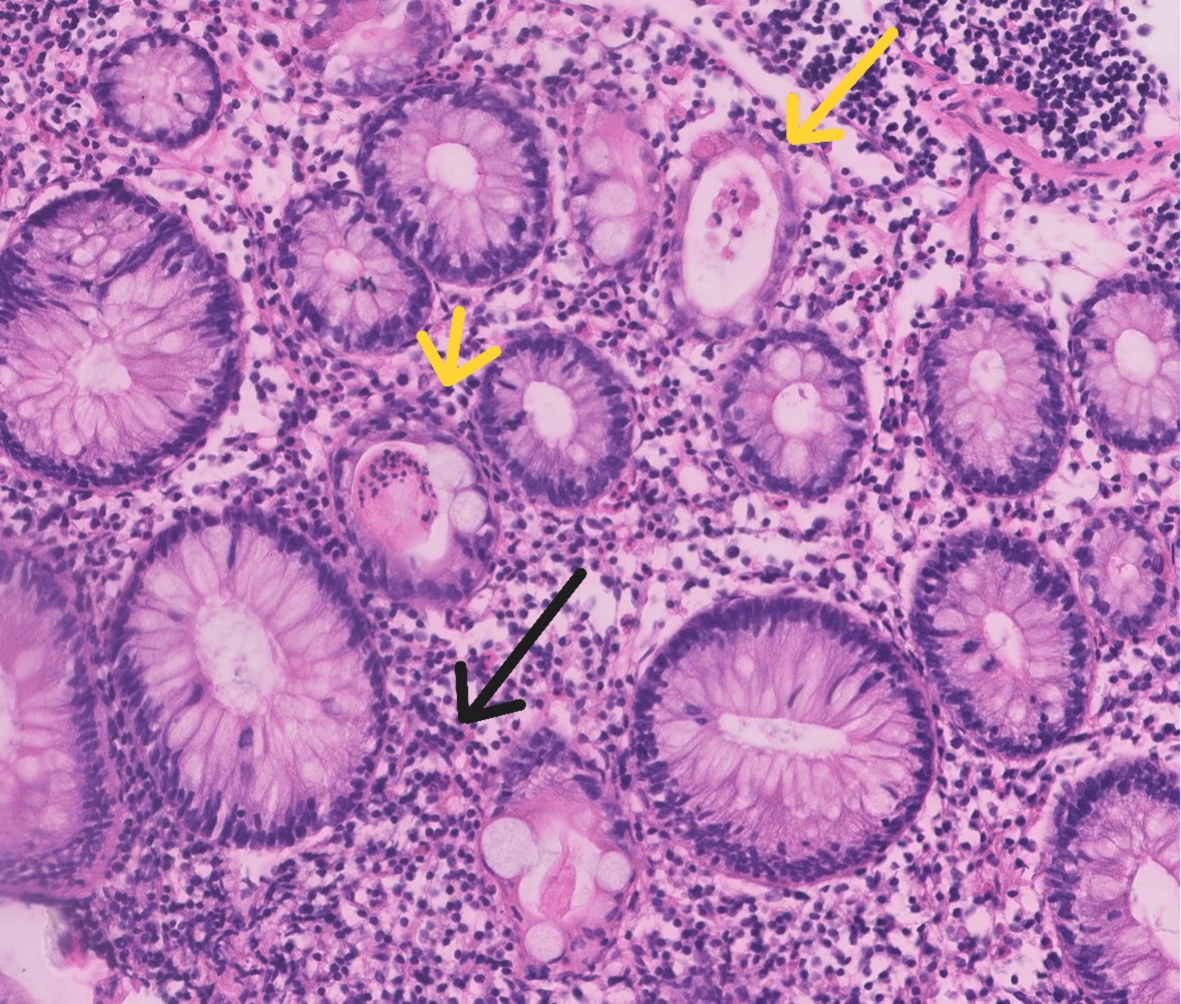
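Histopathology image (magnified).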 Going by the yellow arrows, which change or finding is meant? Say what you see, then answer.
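The lumens of the marked crypts hold clusters of small dark nuclear fragments and pink debris. The epithelium lining the marked crypts is thinner and flatter than in the neighbouring crypts. The answer: crypt abscess.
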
